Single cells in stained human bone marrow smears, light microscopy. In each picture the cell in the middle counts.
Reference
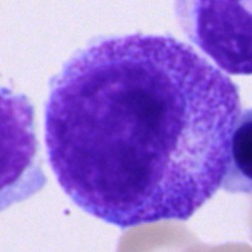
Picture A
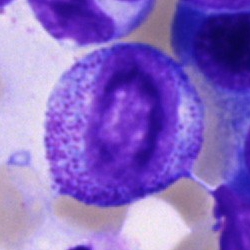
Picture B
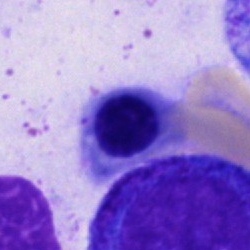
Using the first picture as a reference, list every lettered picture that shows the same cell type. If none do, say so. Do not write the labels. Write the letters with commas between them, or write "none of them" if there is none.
A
